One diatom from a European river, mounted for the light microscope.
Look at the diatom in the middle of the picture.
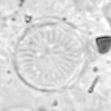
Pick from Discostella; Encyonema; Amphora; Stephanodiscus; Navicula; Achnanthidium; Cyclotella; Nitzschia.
Discostella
